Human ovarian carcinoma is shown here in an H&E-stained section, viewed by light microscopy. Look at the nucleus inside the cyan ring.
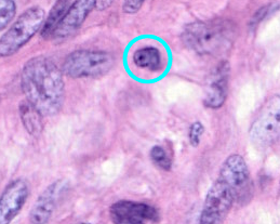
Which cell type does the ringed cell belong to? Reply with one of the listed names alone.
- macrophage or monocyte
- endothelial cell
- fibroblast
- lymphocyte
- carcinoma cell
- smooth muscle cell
macrophage or monocyte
